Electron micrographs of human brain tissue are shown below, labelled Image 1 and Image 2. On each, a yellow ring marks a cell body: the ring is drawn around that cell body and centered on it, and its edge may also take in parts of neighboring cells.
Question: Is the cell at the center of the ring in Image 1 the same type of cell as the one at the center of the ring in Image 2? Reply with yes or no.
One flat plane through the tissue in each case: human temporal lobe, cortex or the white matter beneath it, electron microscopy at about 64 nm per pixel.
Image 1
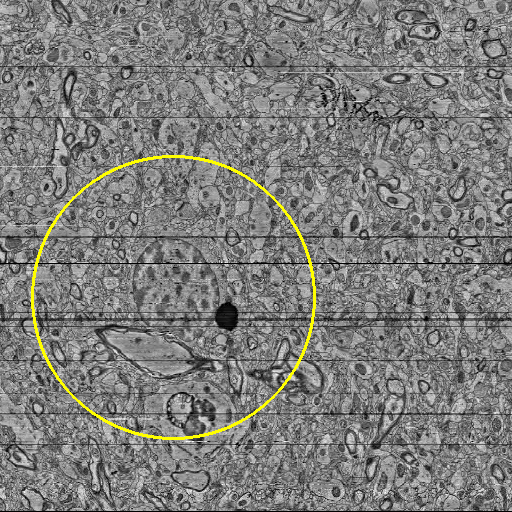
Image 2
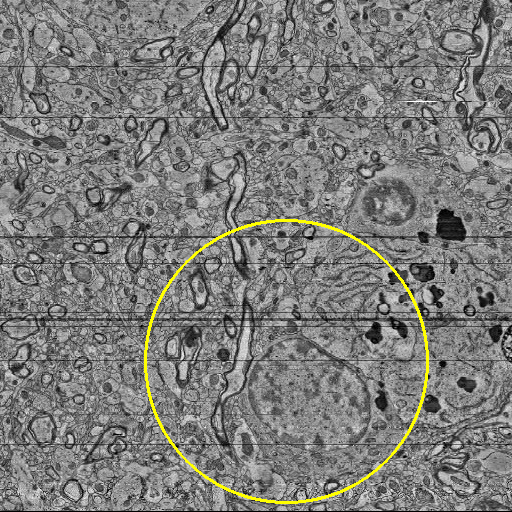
yes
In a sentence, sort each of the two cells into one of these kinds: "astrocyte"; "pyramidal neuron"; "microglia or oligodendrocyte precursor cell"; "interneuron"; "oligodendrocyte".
In each picture the ringed cell is an oligodendrocyte.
